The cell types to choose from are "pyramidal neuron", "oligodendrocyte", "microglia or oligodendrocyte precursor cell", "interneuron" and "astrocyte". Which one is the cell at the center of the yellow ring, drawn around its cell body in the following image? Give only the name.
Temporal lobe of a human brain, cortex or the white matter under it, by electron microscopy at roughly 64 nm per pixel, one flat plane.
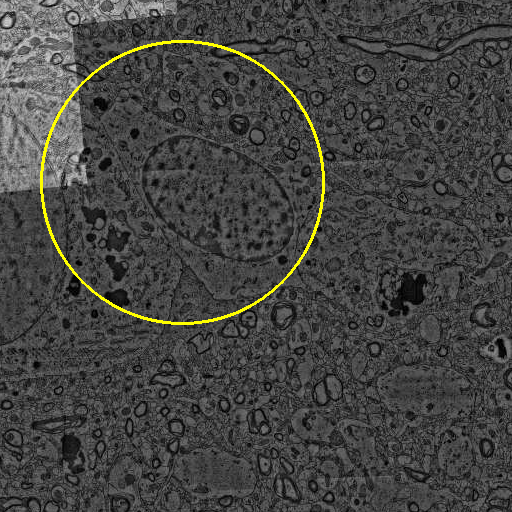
microglia or oligodendrocyte precursor cell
